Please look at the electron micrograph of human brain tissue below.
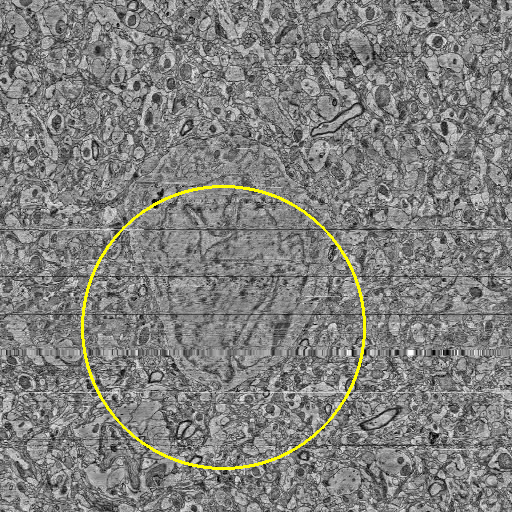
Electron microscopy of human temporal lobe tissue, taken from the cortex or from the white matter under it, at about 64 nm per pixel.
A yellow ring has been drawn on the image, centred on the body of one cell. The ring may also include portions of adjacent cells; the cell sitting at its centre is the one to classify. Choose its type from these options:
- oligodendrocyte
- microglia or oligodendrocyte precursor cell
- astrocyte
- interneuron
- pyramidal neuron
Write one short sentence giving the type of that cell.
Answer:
The cell in the middle of the ring is an interneuron.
